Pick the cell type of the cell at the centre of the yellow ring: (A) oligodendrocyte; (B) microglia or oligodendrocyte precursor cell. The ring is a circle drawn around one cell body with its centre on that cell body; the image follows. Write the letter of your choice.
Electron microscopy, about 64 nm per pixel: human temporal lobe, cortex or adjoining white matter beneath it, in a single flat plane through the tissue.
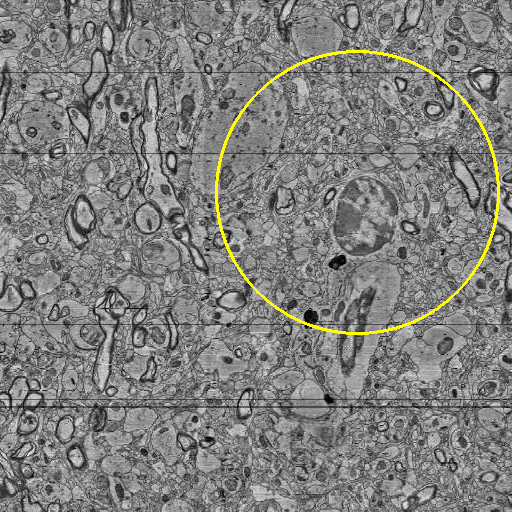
B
